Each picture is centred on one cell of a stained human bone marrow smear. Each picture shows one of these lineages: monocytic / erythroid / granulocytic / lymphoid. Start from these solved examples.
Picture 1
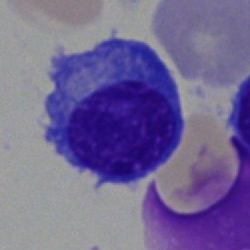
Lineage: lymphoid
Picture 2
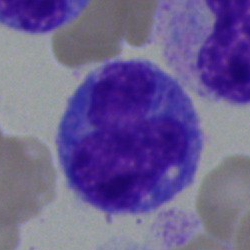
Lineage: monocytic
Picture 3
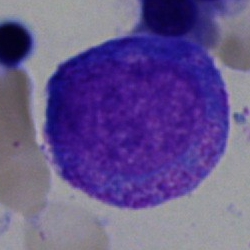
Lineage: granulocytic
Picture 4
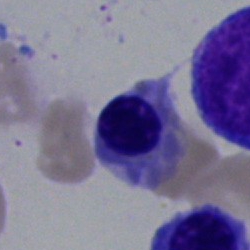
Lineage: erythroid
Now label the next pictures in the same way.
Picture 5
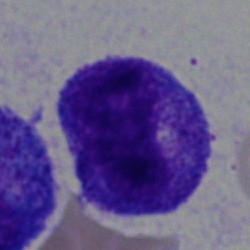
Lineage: granulocytic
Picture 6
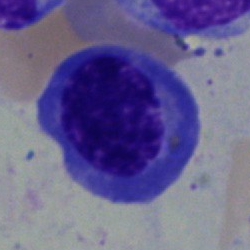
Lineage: erythroid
